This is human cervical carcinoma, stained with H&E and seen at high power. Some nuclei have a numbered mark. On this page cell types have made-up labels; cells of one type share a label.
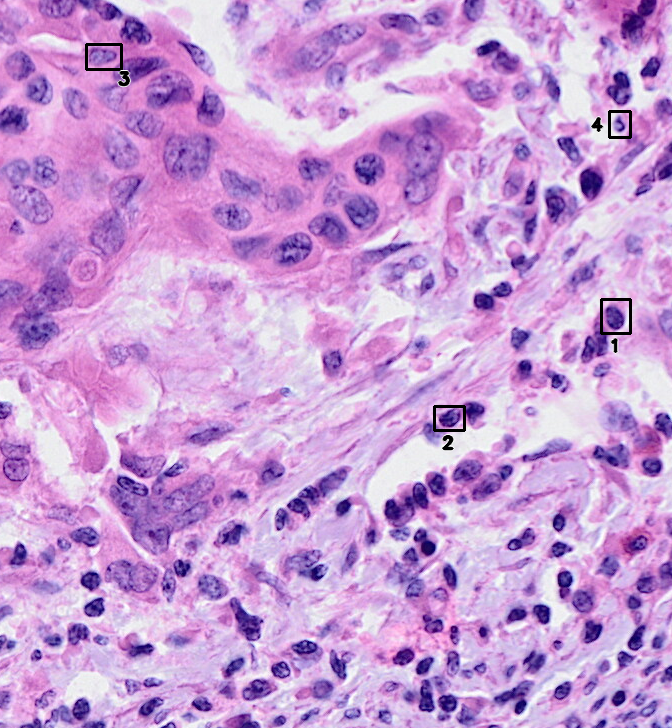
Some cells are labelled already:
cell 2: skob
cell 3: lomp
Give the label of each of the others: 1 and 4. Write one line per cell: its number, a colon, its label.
1: skob
4: skob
